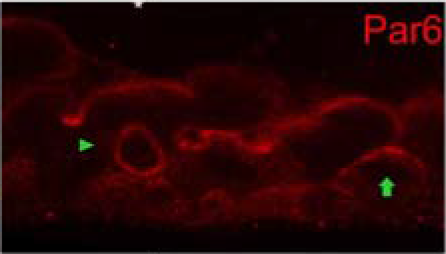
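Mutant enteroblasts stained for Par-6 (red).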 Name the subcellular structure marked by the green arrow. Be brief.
apical membrane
